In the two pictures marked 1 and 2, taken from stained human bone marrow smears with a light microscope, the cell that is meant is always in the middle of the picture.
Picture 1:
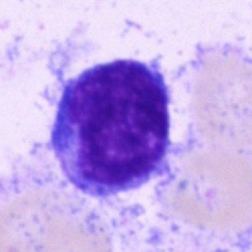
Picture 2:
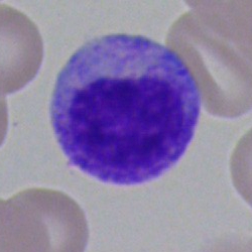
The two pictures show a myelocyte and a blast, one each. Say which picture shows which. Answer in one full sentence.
Picture 1 is of a blast, and picture 2 is of a myelocyte.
